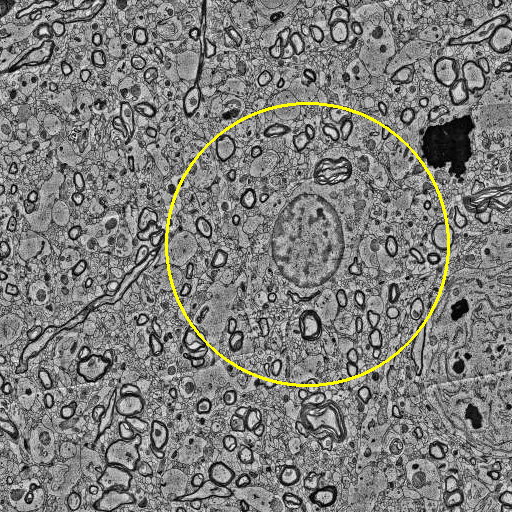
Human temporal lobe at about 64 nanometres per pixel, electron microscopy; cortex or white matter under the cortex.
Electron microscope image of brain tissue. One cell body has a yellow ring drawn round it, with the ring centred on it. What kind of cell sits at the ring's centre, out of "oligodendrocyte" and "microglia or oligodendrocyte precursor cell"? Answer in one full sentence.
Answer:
It is an oligodendrocyte whose cell body sits at the centre of the yellow ring.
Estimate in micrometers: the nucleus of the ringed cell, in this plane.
In this plane, the nucleus of the cell at the centre of the ring measures about 6 by 5 micrometres.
